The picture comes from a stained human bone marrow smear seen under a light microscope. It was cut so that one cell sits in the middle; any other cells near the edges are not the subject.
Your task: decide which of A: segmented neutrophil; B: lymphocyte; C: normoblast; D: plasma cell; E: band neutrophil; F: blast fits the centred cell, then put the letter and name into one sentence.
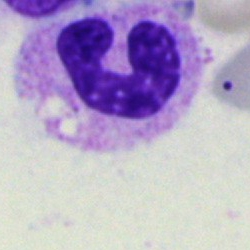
What sits in the middle of the crop is a band neutrophil, and option E is correct.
